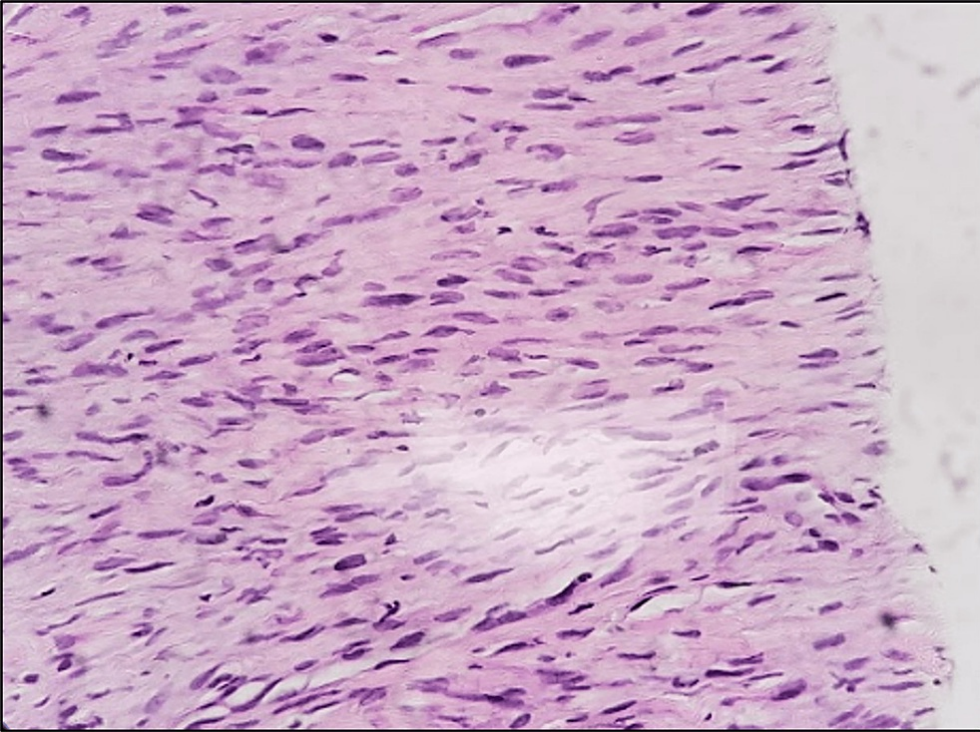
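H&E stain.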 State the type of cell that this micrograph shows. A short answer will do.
spindle cells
